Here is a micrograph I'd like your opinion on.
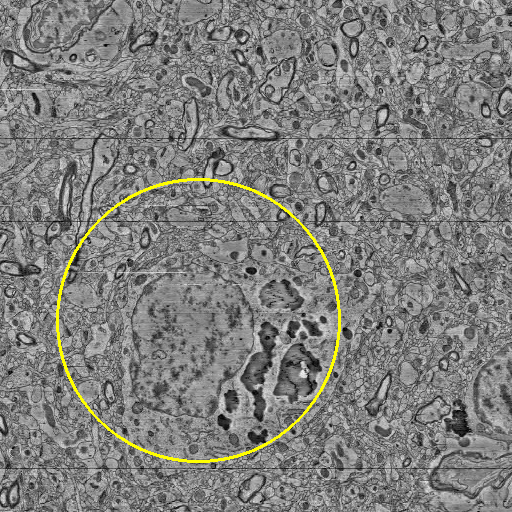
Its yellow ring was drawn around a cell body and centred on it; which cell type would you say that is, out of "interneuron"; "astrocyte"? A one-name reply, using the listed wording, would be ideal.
interneuron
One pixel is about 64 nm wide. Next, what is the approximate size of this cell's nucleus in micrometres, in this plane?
The nucleus appears roughly 10 by 8 micrometres in this plane.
